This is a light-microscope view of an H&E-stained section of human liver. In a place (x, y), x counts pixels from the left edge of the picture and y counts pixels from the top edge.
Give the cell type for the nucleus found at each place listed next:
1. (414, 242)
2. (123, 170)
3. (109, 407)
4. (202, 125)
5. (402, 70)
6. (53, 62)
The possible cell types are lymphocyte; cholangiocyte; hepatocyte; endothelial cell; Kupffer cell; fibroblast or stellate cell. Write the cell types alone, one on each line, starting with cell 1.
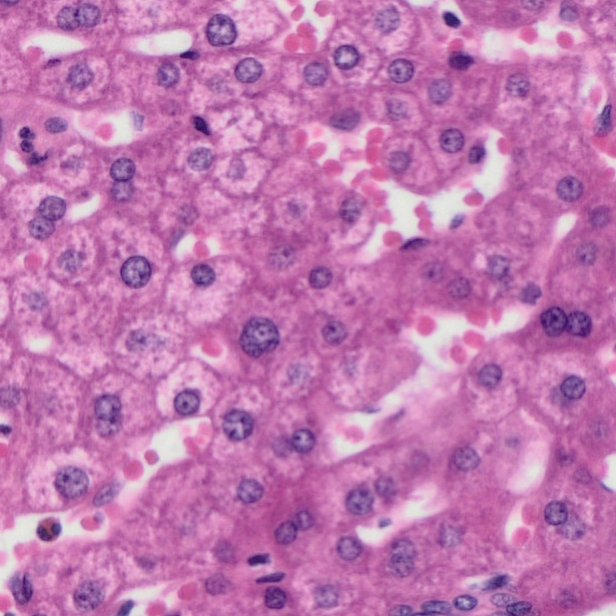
fibroblast or stellate cell
hepatocyte
hepatocyte
fibroblast or stellate cell
hepatocyte
Kupffer cell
